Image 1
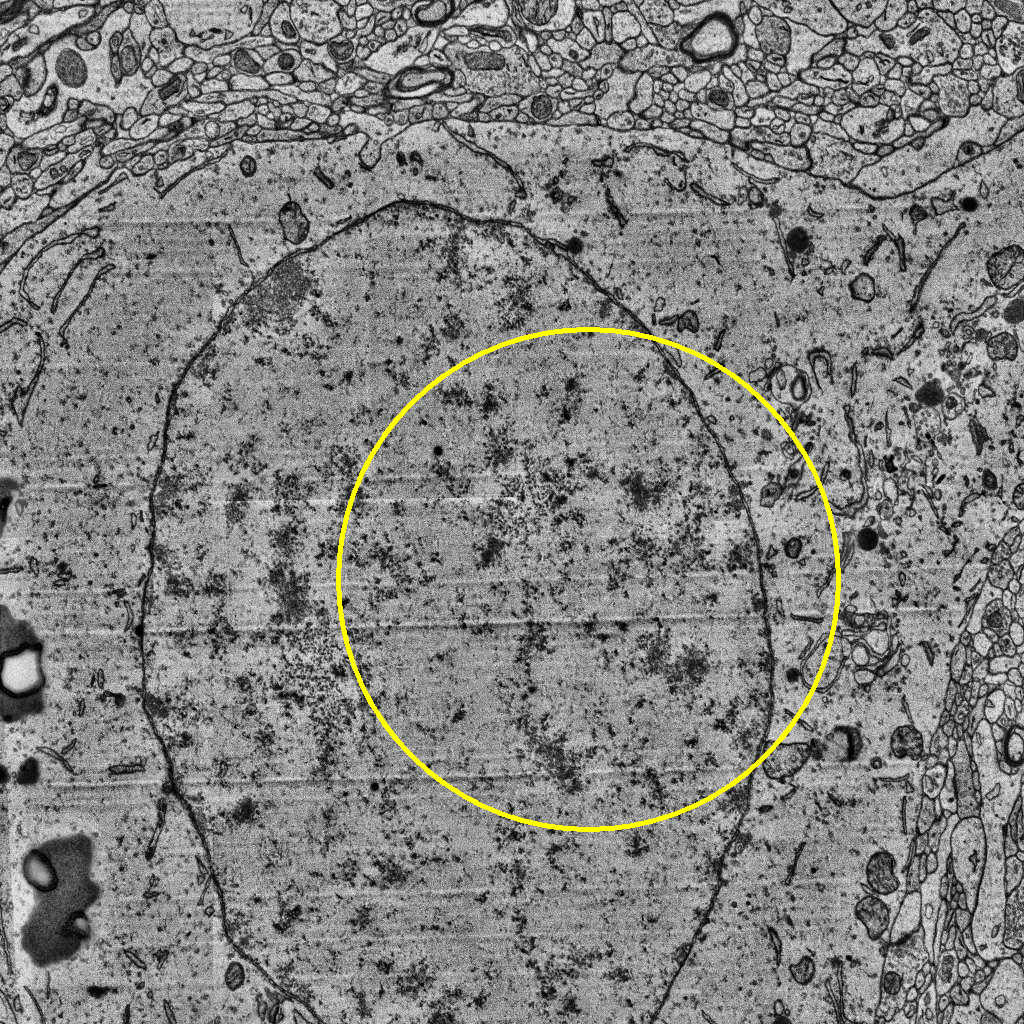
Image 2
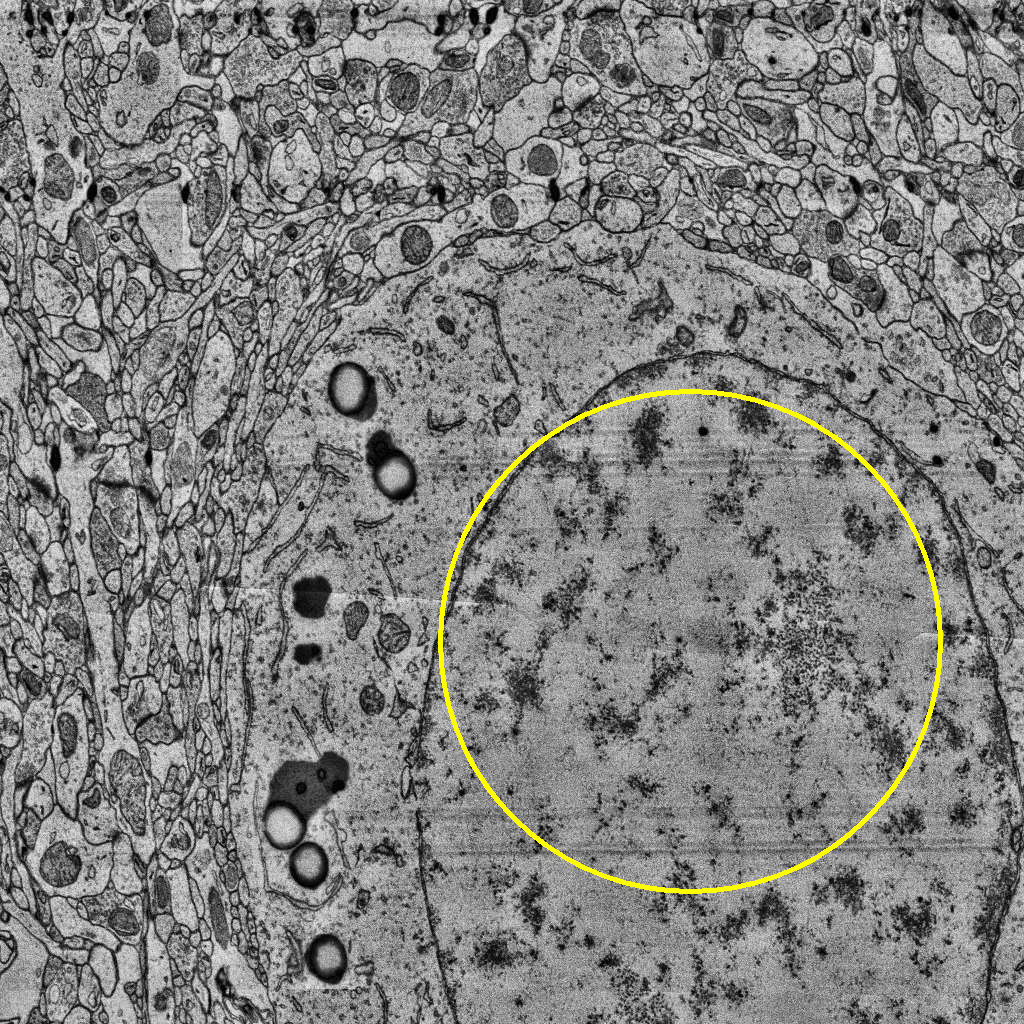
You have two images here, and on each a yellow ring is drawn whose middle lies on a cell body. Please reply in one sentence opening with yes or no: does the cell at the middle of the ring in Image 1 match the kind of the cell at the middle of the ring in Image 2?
Yes, the two images show cells of one kind at the centres of their rings.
